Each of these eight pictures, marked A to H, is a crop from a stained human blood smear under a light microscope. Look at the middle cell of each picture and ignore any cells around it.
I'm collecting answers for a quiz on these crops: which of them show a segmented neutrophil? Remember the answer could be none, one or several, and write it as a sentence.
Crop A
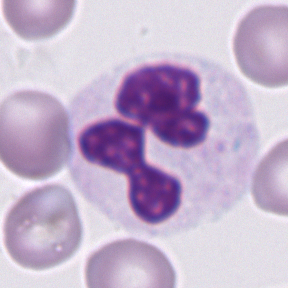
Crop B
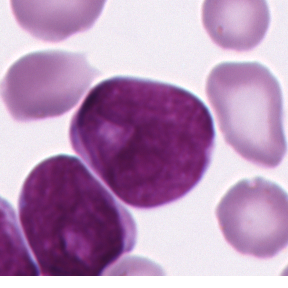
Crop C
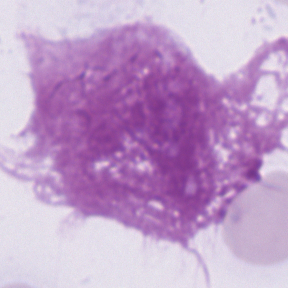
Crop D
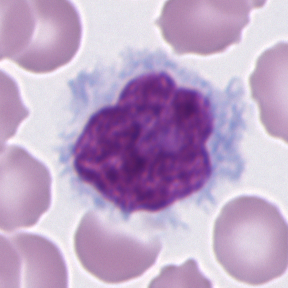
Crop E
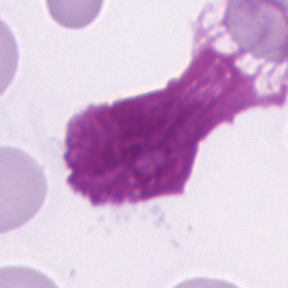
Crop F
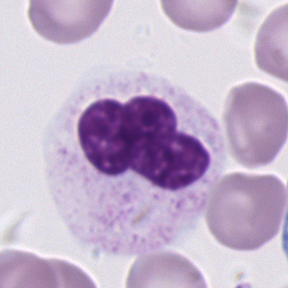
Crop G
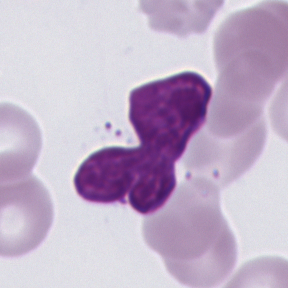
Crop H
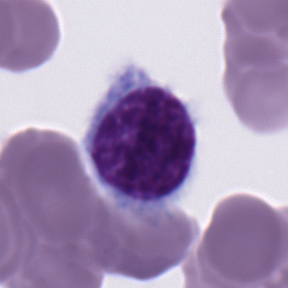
Crops A and F show segmented neutrophils at their centres.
